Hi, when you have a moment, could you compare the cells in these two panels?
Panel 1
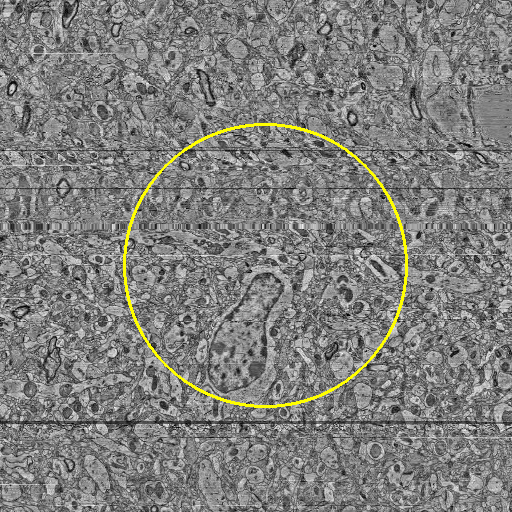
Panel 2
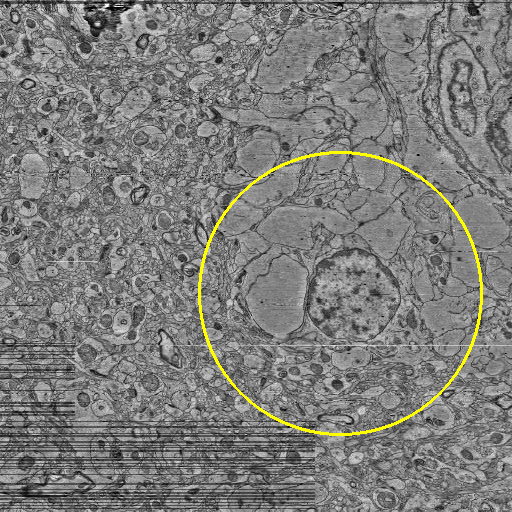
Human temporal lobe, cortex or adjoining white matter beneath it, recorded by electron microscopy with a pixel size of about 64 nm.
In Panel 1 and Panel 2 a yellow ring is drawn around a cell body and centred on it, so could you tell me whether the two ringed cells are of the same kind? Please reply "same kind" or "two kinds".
same kind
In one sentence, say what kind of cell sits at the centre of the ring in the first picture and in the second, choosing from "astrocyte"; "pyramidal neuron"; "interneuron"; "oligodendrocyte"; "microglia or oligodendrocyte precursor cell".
In each of the two pictures, the ringed cell is a microglial cell or oligodendrocyte precursor cell.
